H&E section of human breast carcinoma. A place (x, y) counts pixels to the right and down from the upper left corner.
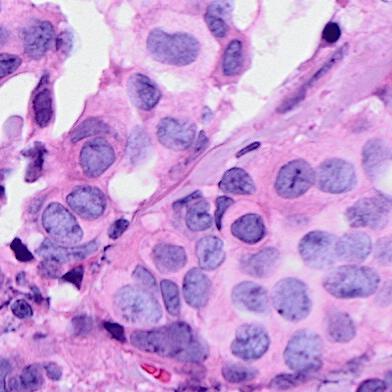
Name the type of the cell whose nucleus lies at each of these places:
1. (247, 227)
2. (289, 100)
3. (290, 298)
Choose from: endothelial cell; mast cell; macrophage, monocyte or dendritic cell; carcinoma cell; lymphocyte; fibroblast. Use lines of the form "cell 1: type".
cell 1: carcinoma cell
cell 2: fibroblast
cell 3: carcinoma cell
